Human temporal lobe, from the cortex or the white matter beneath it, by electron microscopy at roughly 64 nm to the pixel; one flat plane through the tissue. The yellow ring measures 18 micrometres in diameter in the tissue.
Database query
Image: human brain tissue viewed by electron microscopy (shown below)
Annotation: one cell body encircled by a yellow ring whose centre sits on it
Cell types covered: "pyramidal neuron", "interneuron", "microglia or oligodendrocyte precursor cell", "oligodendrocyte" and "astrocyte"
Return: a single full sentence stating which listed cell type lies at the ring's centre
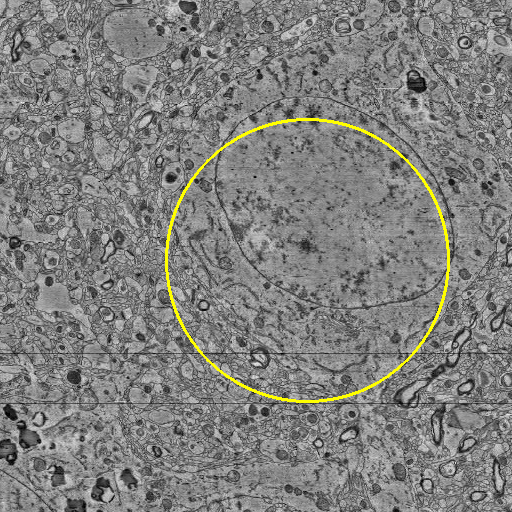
In the image, the cell lying at the ring's centre is a pyramidal neuron.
